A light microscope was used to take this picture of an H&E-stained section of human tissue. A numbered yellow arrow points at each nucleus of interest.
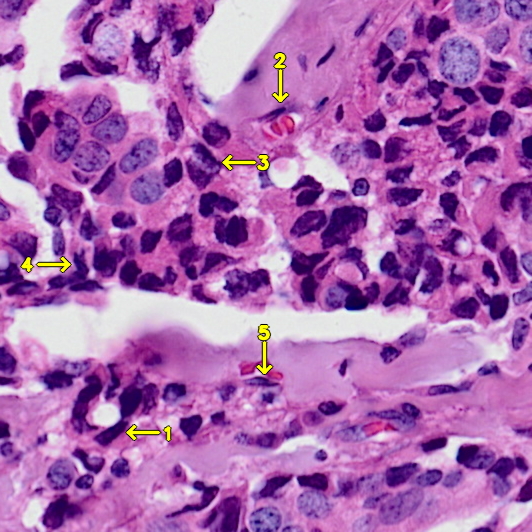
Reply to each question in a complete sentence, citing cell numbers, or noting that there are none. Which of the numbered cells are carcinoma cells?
The identity of cells 1, 3 and 4: they are carcinoma cells.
